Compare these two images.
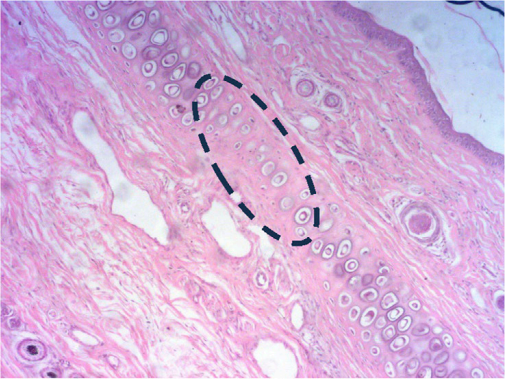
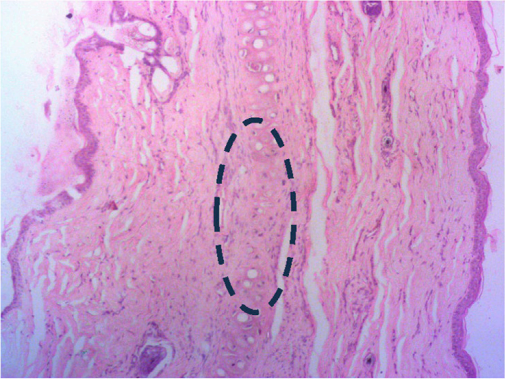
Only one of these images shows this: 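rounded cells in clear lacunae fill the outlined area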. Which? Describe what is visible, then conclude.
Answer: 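First image: the dashed oval encloses a band of rounded cells sitting in clear spaces, continuous with the cartilage plate. The answer: the first image.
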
